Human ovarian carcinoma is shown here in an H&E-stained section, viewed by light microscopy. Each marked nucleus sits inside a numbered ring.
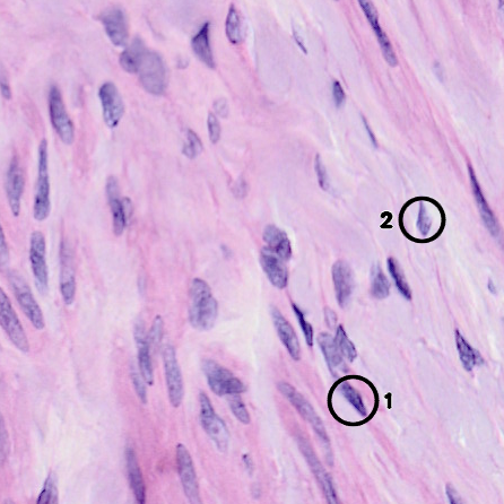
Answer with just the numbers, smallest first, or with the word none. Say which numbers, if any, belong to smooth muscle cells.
1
